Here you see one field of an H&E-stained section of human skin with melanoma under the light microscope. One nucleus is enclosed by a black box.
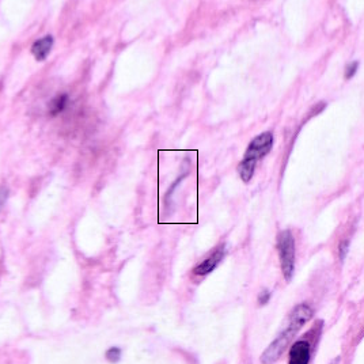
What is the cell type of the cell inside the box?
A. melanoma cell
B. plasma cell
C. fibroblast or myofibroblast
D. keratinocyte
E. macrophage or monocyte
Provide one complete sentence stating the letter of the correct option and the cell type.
Option C is the one to take: the cell inside the box is a fibroblast or myofibroblast.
